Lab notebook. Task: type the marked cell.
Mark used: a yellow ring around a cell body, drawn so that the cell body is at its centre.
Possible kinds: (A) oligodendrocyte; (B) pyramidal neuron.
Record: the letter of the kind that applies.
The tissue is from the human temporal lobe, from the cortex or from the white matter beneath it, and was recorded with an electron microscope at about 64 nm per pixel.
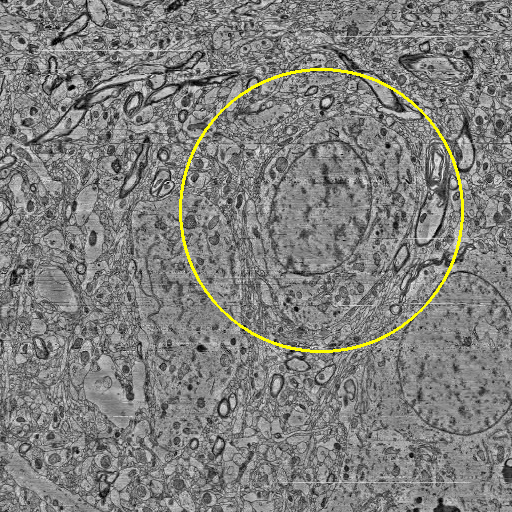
B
